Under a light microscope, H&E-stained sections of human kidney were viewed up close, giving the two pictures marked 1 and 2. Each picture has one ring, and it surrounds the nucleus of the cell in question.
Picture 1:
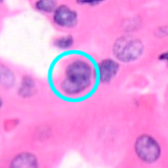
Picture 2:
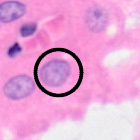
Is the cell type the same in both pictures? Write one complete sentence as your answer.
No; the cell in picture 1 is a collecting duct cell, while the one in picture 2 is a proximal tubule cell.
